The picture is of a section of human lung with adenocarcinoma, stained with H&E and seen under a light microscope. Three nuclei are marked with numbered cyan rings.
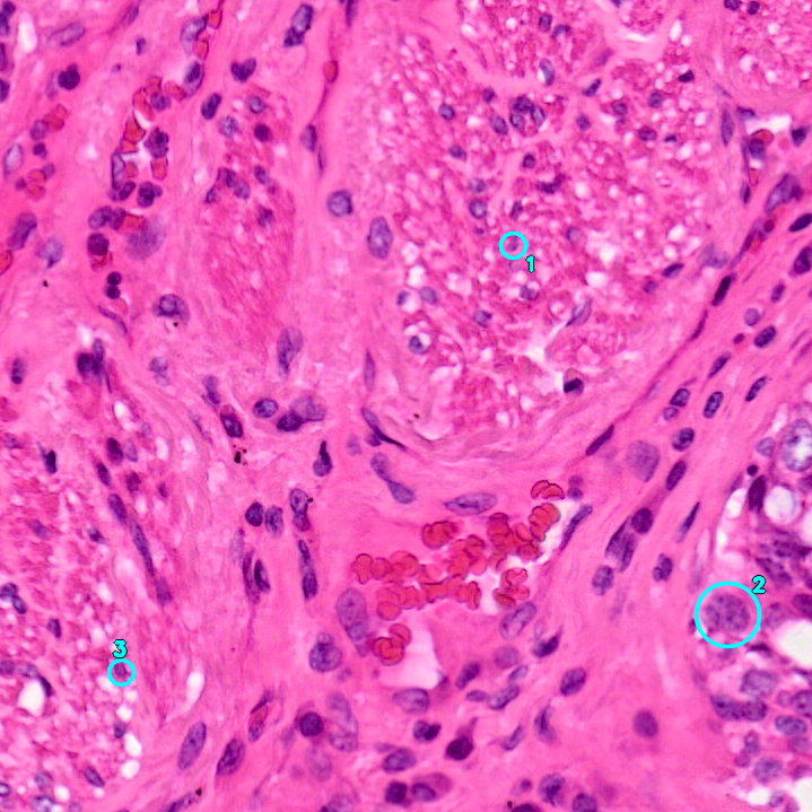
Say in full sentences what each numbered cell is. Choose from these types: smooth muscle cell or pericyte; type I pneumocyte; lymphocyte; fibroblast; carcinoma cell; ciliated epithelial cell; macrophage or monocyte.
Cell 1 is a smooth muscle cell or pericyte, cell 2 is a ciliated epithelial cell and cell 3 is a smooth muscle cell or pericyte.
